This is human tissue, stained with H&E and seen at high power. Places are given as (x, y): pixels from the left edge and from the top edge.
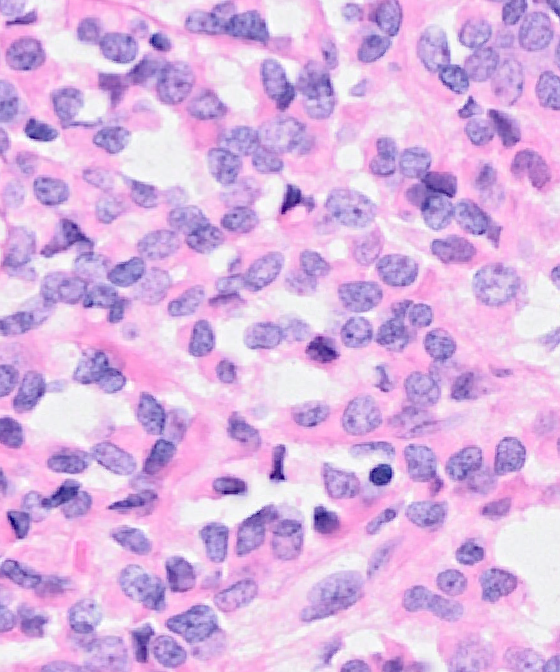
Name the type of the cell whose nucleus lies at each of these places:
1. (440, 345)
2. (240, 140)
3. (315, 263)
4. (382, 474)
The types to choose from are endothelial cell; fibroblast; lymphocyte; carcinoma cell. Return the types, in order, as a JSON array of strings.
["carcinoma cell", "carcinoma cell", "carcinoma cell", "lymphocyte"]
